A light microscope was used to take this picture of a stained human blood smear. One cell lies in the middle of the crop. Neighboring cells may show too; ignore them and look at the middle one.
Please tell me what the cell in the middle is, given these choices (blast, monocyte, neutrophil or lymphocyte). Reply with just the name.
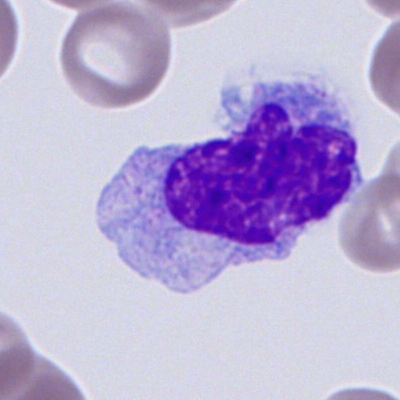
monocyte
